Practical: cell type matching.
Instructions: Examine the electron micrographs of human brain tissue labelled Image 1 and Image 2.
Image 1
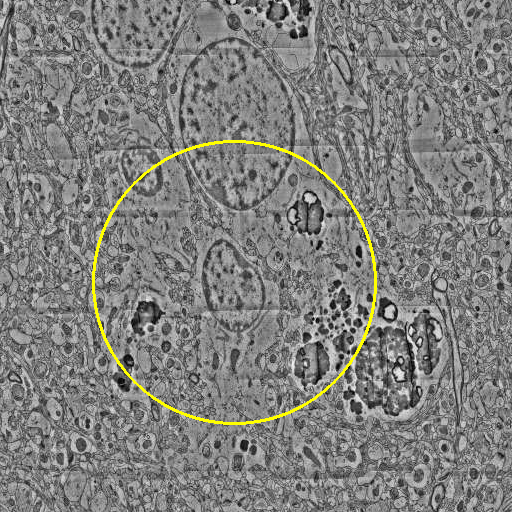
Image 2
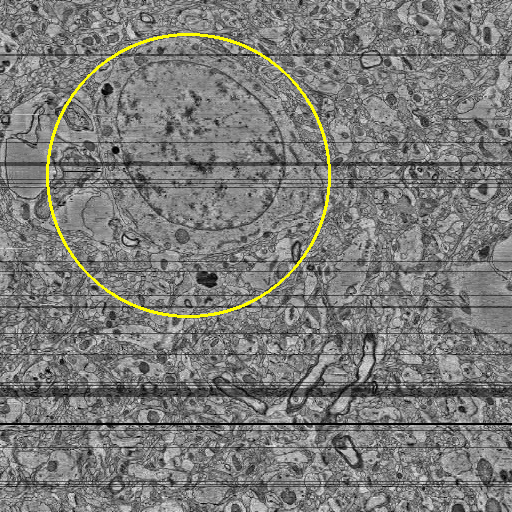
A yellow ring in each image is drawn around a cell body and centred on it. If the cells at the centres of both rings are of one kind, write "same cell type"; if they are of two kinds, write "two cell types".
two cell types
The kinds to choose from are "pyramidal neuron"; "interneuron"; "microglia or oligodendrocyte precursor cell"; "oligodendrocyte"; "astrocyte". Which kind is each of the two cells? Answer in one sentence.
Of the two, the first cell is an astrocyte and the second cell is a pyramidal neuron.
